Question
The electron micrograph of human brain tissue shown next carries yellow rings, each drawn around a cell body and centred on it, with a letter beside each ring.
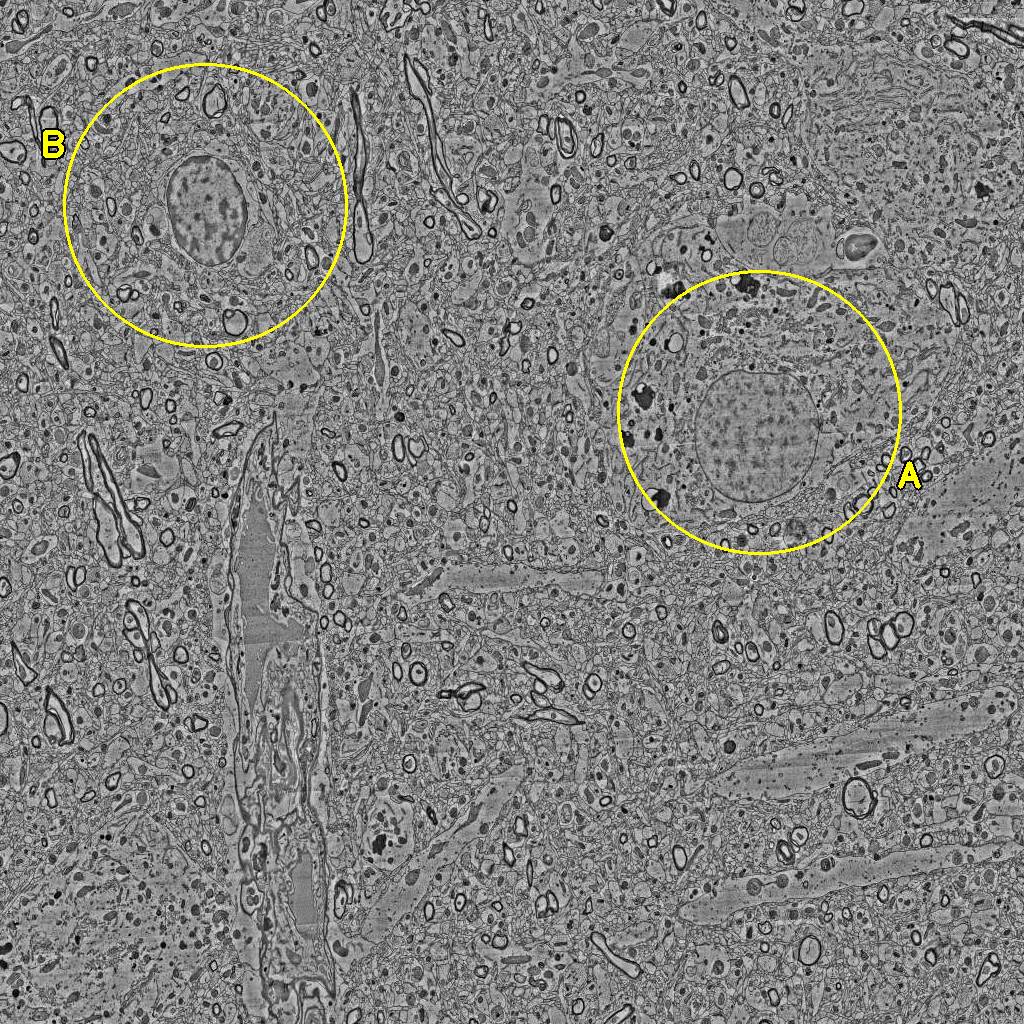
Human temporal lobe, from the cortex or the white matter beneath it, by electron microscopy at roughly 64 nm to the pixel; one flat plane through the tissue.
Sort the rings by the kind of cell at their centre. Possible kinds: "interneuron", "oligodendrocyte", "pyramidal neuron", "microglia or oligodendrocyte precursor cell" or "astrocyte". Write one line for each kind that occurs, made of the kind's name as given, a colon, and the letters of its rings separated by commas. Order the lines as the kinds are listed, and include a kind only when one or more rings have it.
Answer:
pyramidal neuron: A
microglia or oligodendrocyte precursor cell: B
